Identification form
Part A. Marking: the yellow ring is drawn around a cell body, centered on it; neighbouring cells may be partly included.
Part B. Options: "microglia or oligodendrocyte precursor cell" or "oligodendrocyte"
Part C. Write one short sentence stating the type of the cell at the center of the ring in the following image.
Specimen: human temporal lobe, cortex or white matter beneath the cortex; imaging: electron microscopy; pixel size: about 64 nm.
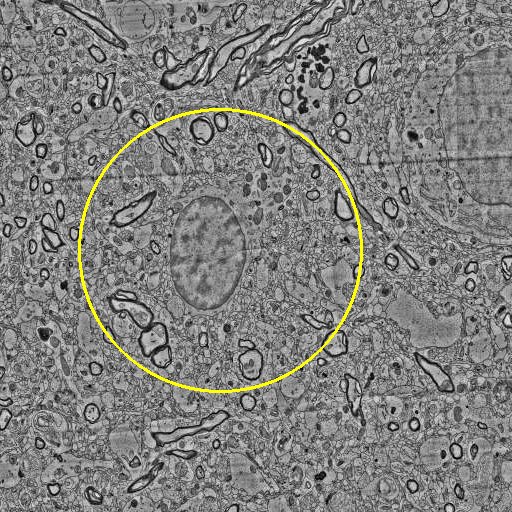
The center of the ring holds an oligodendrocyte.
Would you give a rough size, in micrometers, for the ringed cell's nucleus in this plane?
Roughly 7 micrometres by 5 micrometres, in this plane.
